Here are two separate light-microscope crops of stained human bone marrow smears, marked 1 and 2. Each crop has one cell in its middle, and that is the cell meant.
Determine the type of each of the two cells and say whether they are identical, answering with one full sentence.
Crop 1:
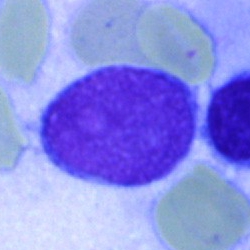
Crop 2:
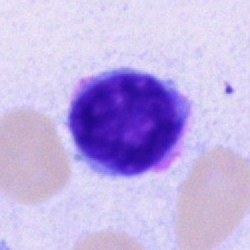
No, the central cell of crop 1 is a blast; that of crop 2 is a lymphocyte.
